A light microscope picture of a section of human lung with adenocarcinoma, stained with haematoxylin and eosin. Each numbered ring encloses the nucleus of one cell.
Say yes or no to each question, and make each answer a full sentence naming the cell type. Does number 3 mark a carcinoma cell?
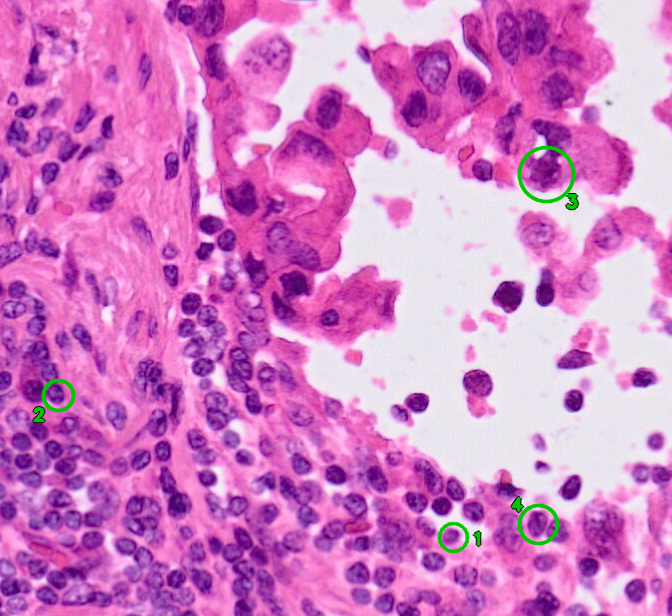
Yes, it is a carcinoma cell that carries the number 3.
